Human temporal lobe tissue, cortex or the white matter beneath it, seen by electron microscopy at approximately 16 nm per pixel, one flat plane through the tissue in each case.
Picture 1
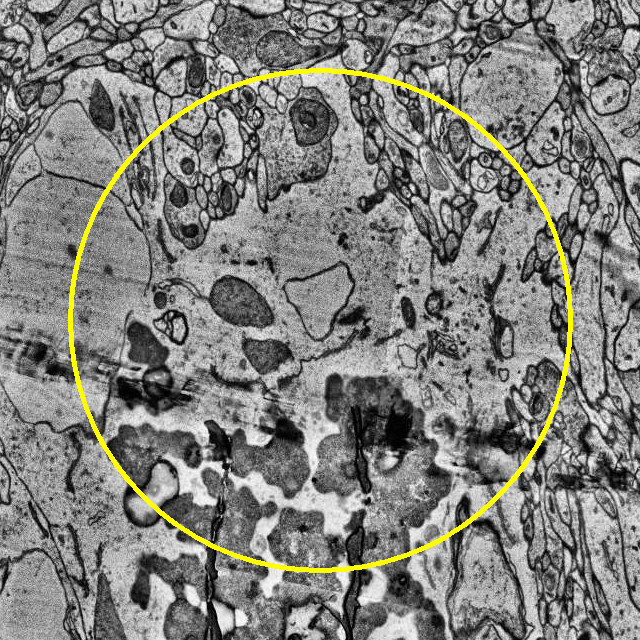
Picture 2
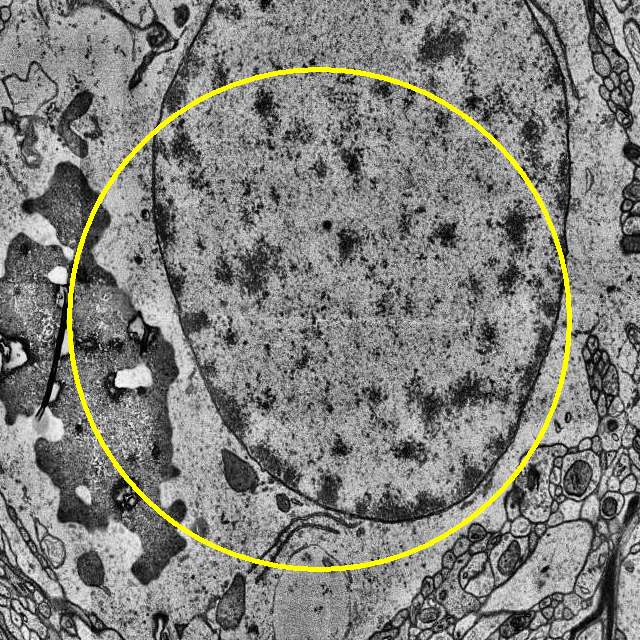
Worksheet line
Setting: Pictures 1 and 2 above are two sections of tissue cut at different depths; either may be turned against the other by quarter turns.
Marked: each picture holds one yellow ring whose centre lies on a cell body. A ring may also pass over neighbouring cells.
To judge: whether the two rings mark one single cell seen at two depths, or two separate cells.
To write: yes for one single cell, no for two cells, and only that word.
yes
